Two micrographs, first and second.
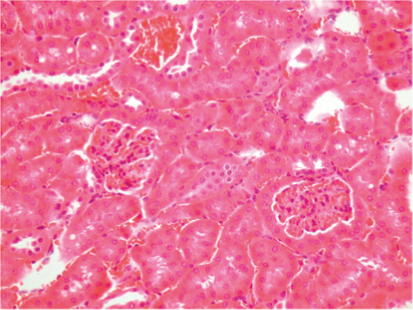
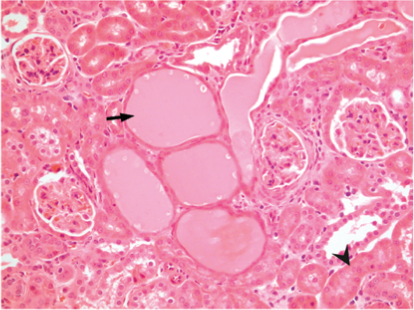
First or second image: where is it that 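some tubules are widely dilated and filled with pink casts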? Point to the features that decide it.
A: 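The second image. Second image: several greatly widened tubules filled with homogeneous pink material. First image: tubules are closely packed with narrow lumens and no pink casts.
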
